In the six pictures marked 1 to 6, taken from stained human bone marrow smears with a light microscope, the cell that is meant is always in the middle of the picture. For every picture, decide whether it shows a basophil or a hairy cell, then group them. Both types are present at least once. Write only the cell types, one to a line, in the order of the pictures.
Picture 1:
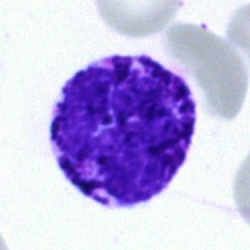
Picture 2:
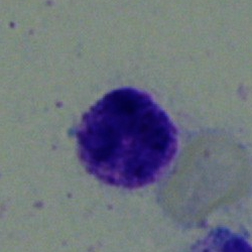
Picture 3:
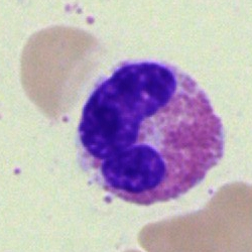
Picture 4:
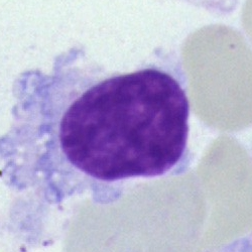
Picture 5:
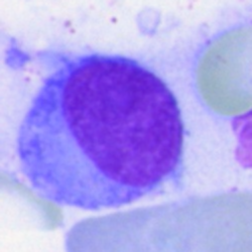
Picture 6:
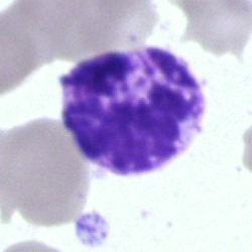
basophil
basophil
basophil
hairy cell
hairy cell
basophil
